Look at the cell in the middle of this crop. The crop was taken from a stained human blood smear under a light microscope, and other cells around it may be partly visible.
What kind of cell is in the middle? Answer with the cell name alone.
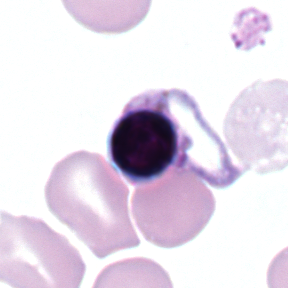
erythroblast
